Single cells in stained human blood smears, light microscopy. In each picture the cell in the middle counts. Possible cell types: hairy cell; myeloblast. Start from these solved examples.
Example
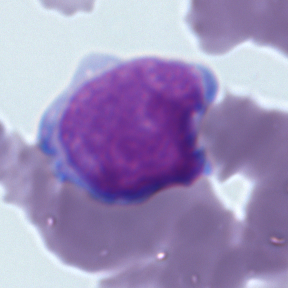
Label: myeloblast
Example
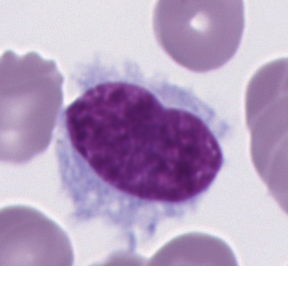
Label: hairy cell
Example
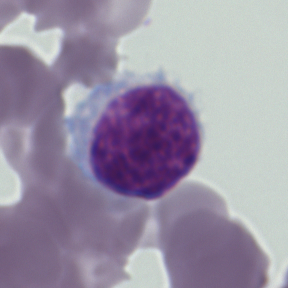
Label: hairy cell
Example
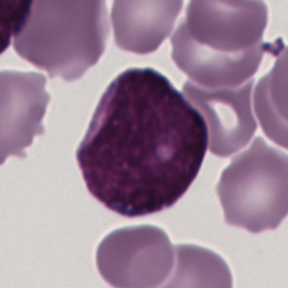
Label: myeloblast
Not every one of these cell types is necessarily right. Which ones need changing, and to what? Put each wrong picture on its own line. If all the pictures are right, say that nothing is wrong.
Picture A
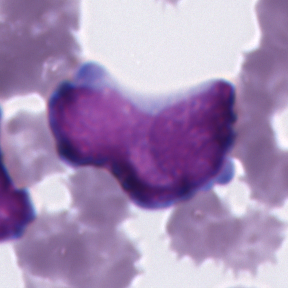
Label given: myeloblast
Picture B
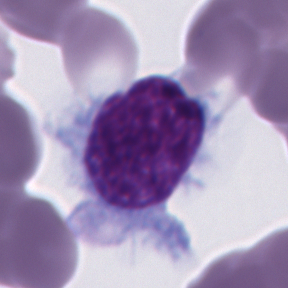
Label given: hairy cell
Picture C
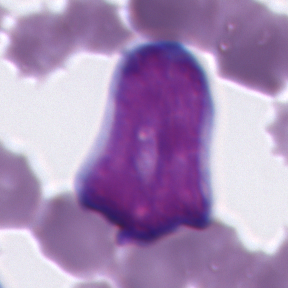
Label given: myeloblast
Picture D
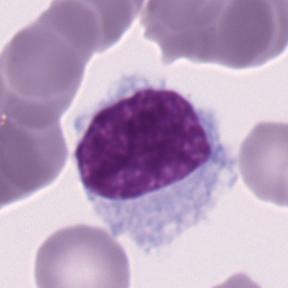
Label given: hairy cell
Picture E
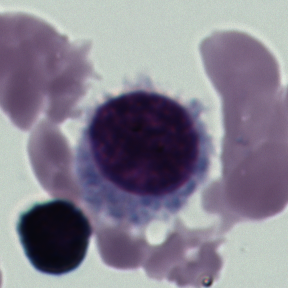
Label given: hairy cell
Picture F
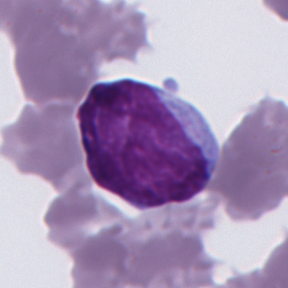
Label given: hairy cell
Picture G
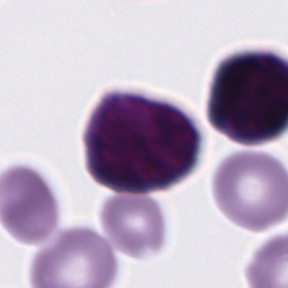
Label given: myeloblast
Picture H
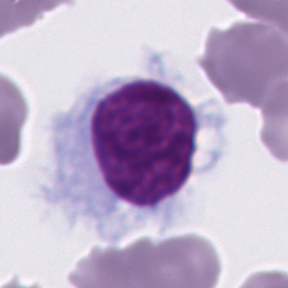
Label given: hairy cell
F is labelled hairy cell; correct label: myeloblast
